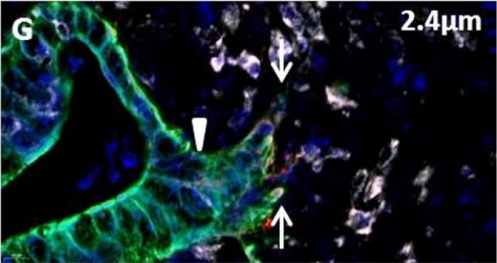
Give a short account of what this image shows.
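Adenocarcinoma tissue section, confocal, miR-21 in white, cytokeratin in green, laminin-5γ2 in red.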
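Columnar epithelial cells with green-outlined borders and blue nuclei line a dark lumen at left. Toward the right, the green epithelium fans out into a wide sheet whose tip reaches the cells between the two arrows, so the bud appears joined to the gland in this plane. Small red specks lie at the edge near the lower arrow. Irregular white cells and scattered blue nuclei fill the surrounding stroma.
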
